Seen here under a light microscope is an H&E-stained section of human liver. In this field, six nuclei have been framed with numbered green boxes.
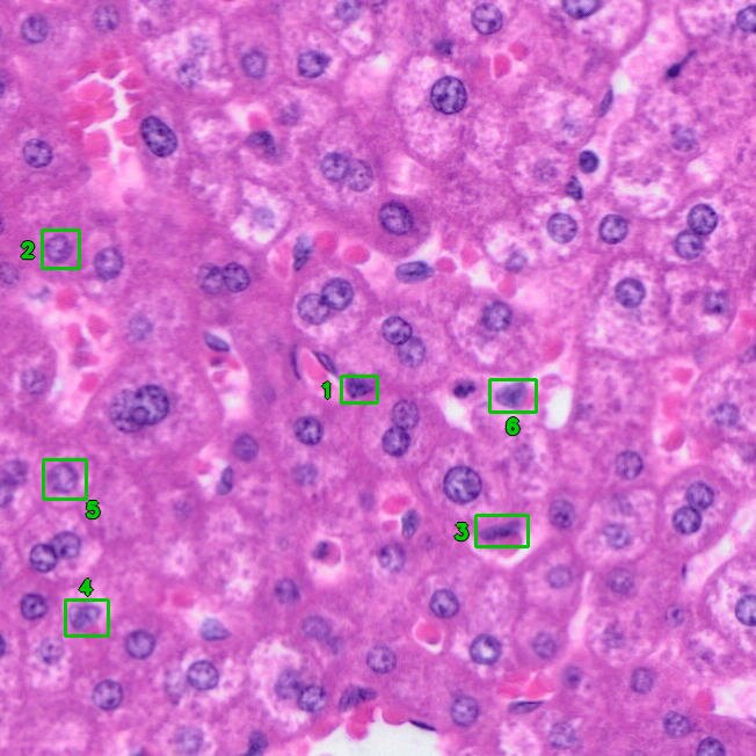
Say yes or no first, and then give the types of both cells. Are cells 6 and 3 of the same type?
No, sorry, cell 6 is an endothelial cell and cell 3 is a Kupffer cell.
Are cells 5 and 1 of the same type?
No, that is not right: cell 5 is a hepatocyte and cell 1 is a fibroblast or stellate cell.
